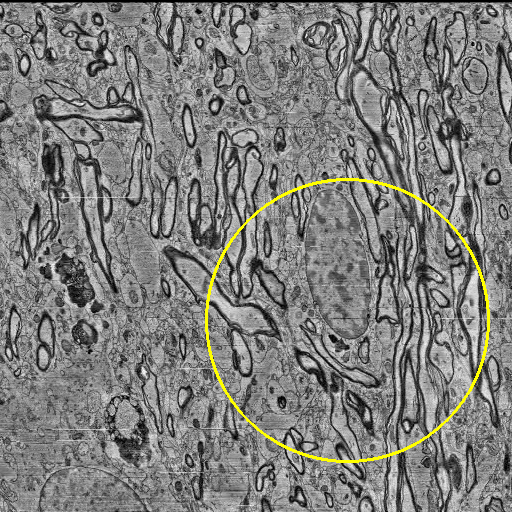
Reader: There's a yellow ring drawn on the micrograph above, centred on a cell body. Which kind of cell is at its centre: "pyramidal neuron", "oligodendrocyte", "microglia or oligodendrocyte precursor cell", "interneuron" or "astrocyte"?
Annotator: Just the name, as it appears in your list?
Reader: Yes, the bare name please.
microglia or oligodendrocyte precursor cell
